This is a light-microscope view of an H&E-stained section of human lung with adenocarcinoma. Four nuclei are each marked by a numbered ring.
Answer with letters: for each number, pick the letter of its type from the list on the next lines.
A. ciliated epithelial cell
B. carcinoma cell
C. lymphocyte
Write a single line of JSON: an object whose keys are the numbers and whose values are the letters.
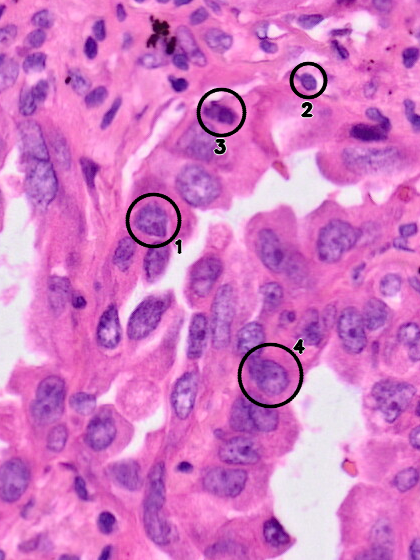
{"1": "B", "2": "C", "3": "B", "4": "B"}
